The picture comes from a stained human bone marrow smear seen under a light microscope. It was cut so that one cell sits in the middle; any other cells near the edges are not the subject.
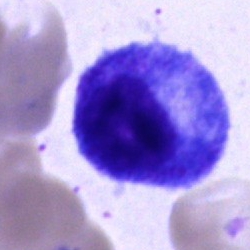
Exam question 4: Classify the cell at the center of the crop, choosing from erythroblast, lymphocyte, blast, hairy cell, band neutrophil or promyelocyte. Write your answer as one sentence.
The cell the crop is centered on is a promyelocyte.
